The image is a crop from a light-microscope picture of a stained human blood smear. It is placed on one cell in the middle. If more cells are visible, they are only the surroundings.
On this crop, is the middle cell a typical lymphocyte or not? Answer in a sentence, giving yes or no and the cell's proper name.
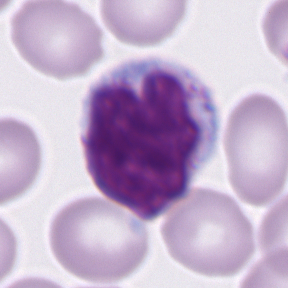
No, the cell in the centre is a large granular lymphocyte instead of a typical lymphocyte.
